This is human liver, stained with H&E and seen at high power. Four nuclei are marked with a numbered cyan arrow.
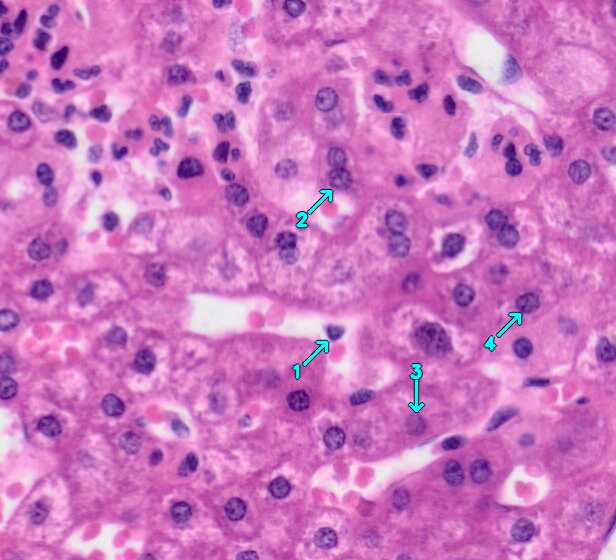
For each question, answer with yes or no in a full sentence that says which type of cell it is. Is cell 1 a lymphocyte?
Yes, a lymphocyte is what the cell numbered 1 is.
